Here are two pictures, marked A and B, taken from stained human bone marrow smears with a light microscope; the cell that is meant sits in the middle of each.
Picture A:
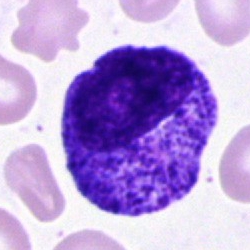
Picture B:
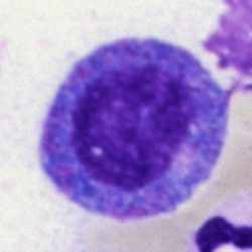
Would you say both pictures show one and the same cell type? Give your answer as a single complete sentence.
Yes, both are promyelocytes.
